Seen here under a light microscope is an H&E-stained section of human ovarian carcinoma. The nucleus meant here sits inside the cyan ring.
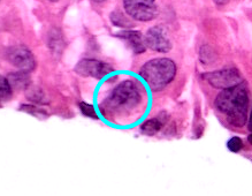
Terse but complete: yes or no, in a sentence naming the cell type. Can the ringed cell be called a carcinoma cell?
Yes, that the ringed cell is a carcinoma cell is correct.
